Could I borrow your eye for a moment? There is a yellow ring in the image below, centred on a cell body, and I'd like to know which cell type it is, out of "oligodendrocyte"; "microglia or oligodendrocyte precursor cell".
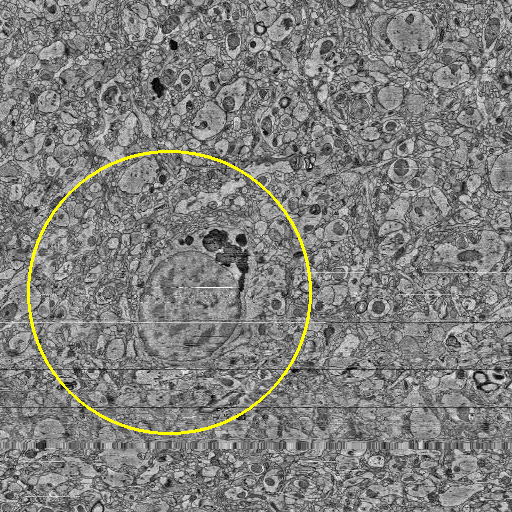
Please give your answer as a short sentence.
The cell body at the centre is that of an oligodendrocyte.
